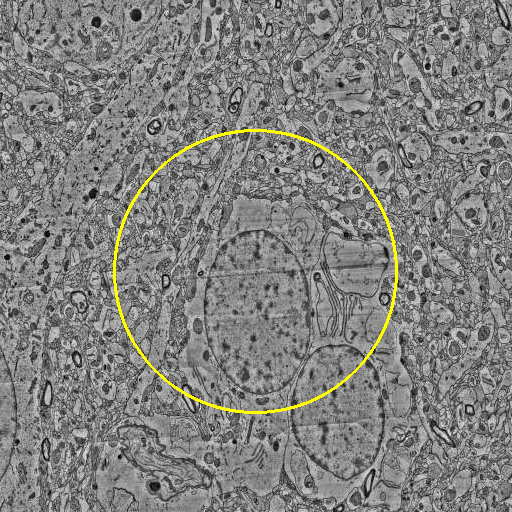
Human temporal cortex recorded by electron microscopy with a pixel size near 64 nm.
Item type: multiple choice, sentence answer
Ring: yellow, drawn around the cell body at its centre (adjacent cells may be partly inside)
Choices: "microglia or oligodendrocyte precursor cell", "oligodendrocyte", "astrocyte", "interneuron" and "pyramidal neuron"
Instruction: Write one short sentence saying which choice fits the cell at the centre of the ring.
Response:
This ring is drawn around an astrocyte.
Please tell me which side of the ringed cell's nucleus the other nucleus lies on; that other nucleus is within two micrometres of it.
That other nucleus lies to the lower right of it.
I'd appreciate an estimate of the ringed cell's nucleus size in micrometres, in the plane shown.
Roughly 10 by 7 micrometers, clearly longer than it is wide in this plane.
